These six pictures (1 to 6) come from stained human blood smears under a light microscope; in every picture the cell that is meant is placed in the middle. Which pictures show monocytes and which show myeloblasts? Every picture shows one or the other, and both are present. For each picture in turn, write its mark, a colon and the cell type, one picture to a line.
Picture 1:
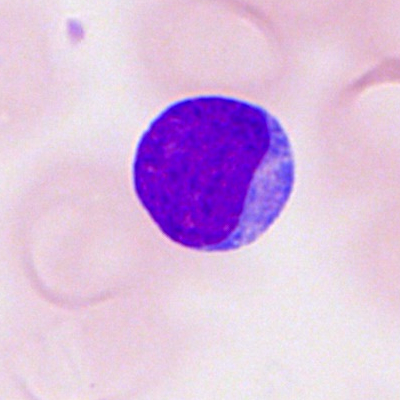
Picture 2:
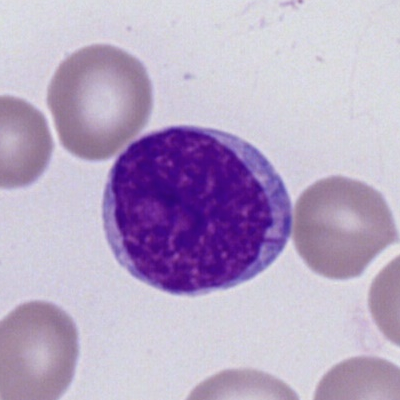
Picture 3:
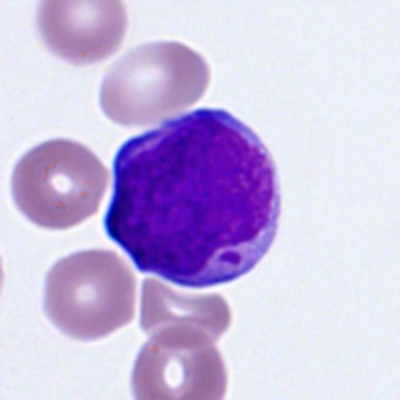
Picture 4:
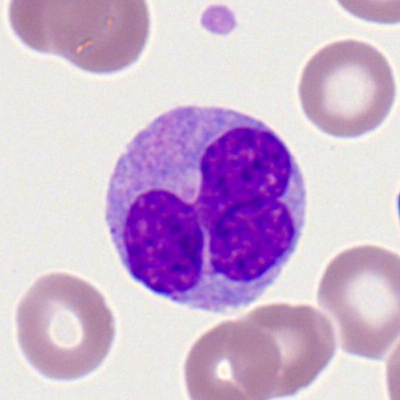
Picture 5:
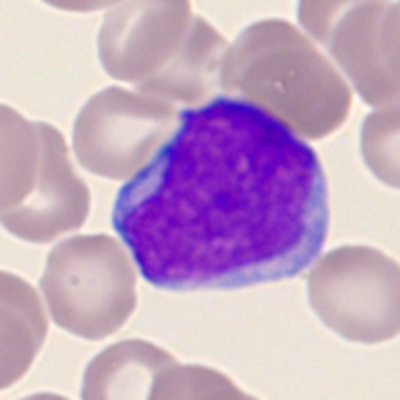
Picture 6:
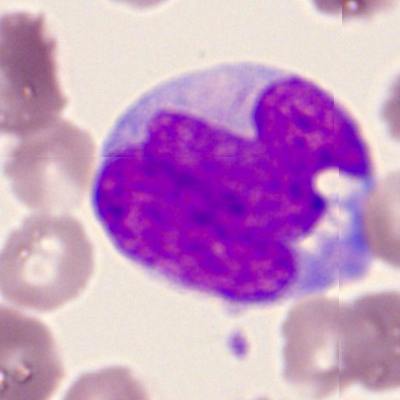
1: myeloblast
2: myeloblast
3: myeloblast
4: monocyte
5: myeloblast
6: monocyte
